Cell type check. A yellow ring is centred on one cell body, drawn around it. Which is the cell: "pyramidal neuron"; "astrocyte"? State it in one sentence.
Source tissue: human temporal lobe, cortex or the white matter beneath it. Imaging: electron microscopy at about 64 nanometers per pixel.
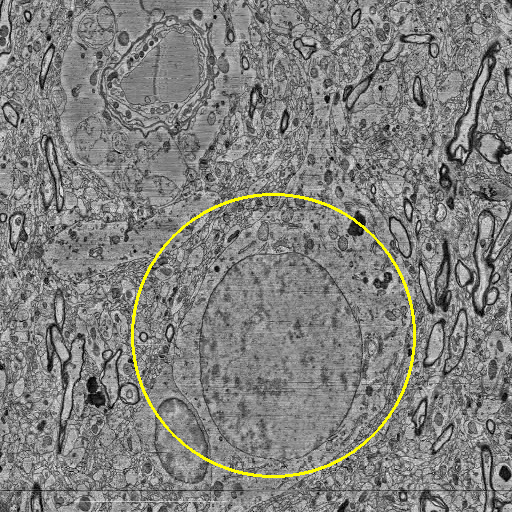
The cell body at the ring's centre belongs to a pyramidal neuron.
